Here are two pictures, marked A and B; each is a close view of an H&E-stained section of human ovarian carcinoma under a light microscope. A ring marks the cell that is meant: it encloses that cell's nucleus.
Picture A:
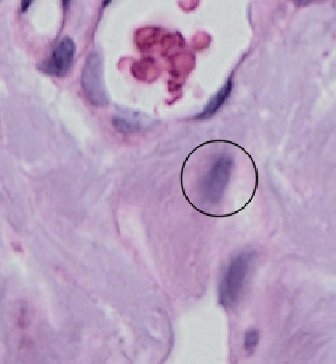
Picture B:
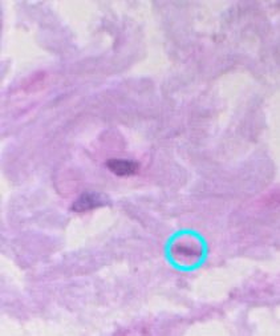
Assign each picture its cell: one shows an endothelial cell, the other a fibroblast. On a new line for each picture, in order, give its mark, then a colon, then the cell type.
A: endothelial cell
B: fibroblast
